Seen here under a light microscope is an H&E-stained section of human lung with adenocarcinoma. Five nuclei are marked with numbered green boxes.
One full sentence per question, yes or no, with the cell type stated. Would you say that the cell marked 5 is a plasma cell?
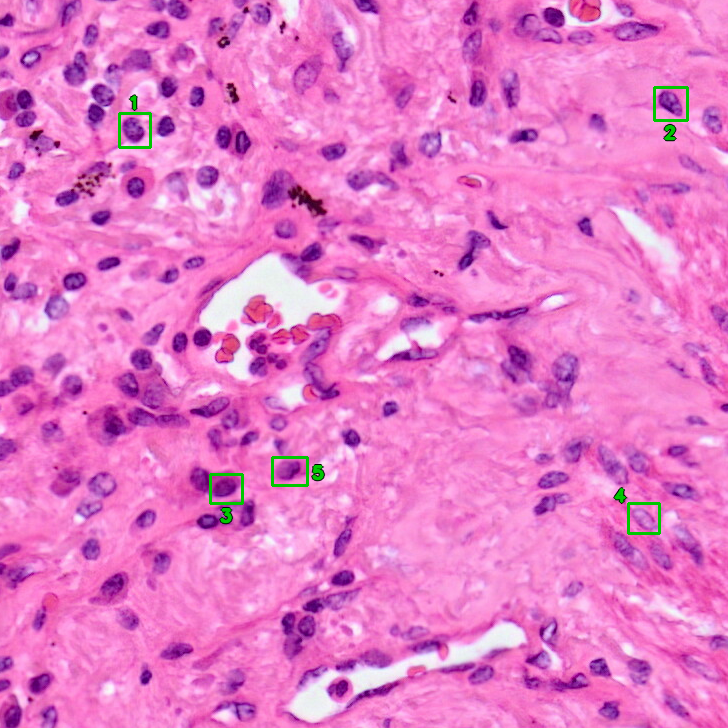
Yes, regarding cell number 5, it is a plasma cell.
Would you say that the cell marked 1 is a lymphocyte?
Yes, for number 1, the cell is a lymphocyte.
